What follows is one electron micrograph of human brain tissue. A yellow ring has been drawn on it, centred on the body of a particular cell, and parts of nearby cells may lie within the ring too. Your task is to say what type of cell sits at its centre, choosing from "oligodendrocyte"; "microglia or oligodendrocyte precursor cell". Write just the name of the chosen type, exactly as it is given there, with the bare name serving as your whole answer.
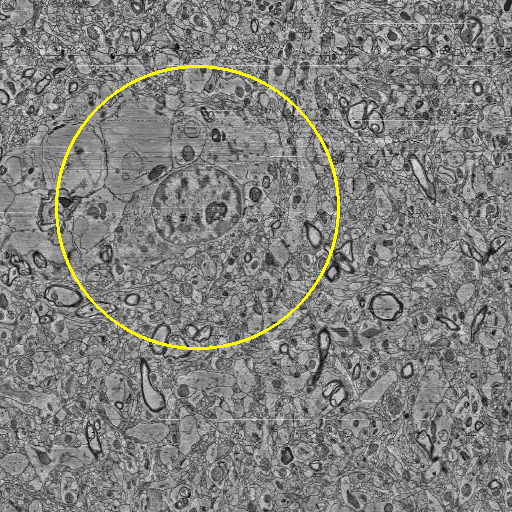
oligodendrocyte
